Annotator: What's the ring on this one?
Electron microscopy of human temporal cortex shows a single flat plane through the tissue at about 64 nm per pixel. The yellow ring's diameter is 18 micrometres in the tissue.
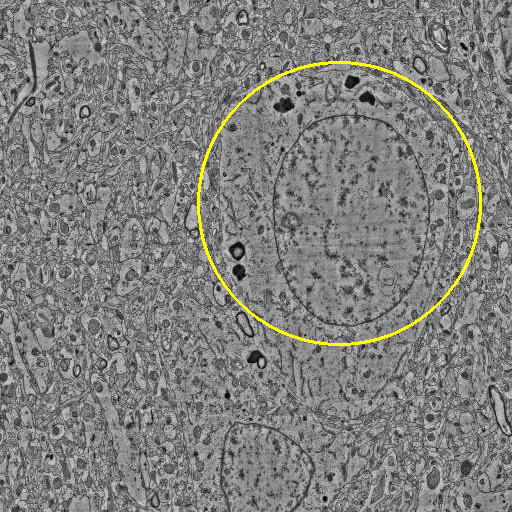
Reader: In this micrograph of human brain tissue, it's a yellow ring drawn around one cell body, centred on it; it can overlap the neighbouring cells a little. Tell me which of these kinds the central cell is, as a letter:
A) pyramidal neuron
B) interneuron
A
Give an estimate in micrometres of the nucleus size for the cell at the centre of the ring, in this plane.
Roughly 14 micrometres by 10 micrometres, in this plane.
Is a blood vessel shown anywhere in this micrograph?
No, no blood vessel shows in the picture.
